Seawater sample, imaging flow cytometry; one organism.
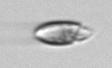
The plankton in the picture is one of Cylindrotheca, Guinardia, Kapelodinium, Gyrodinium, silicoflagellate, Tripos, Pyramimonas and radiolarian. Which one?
Kapelodinium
